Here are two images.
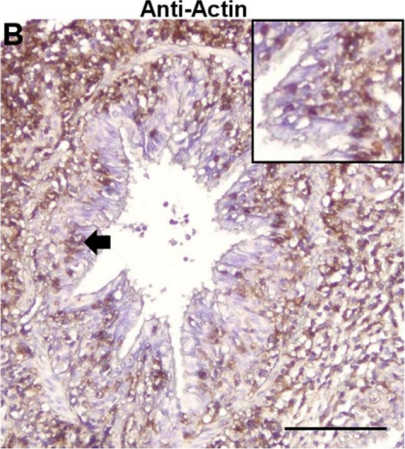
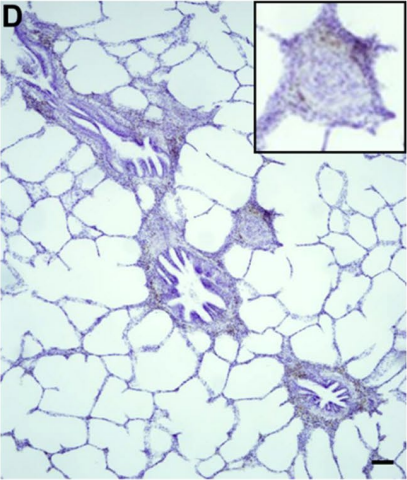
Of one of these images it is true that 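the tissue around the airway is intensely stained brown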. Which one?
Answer: the first image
